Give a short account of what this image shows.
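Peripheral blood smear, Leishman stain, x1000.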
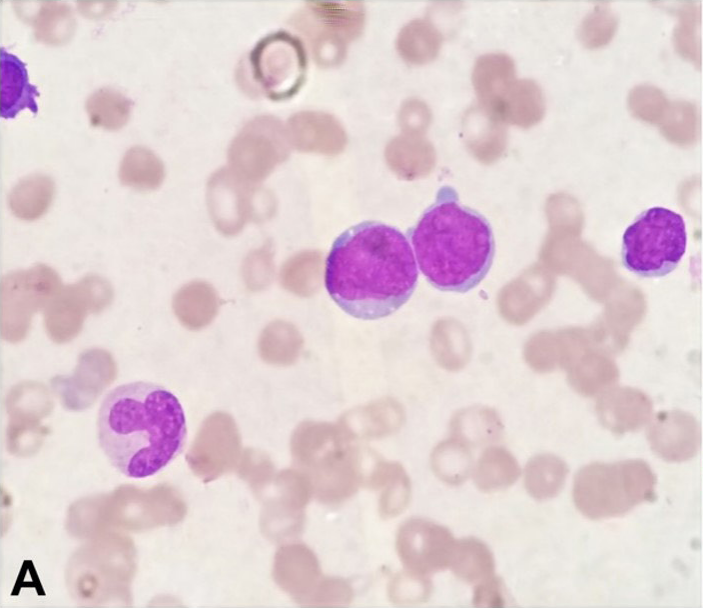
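In the centre lie two large round cells side by side, each with a big round purple nucleus that takes up most of the cell and only a thin rim of pale blue cytoplasm. Lower left is a cell with a bent, horseshoe-shaped nucleus and pale pinkish granular cytoplasm, a maturing granulocyte. To the right is a smaller cell with a dense, darker purple nucleus and very little cytoplasm.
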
